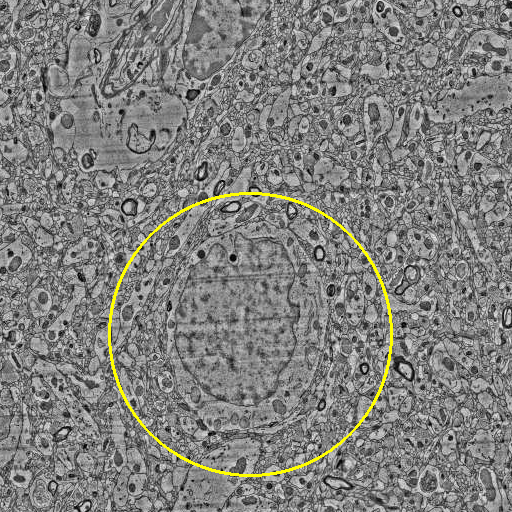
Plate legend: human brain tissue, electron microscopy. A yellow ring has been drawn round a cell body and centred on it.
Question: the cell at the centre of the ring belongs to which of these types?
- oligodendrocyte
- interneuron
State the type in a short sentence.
The cell in the middle of the ring is an interneuron.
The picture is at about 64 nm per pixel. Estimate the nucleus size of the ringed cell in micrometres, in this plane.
Roughly 11 micrometres by 8 micrometres, in this plane.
